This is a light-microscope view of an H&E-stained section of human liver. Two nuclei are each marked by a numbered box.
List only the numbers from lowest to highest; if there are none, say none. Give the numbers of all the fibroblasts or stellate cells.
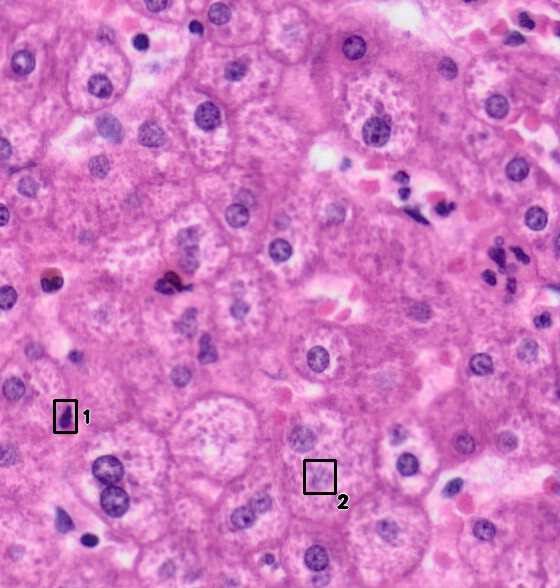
1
